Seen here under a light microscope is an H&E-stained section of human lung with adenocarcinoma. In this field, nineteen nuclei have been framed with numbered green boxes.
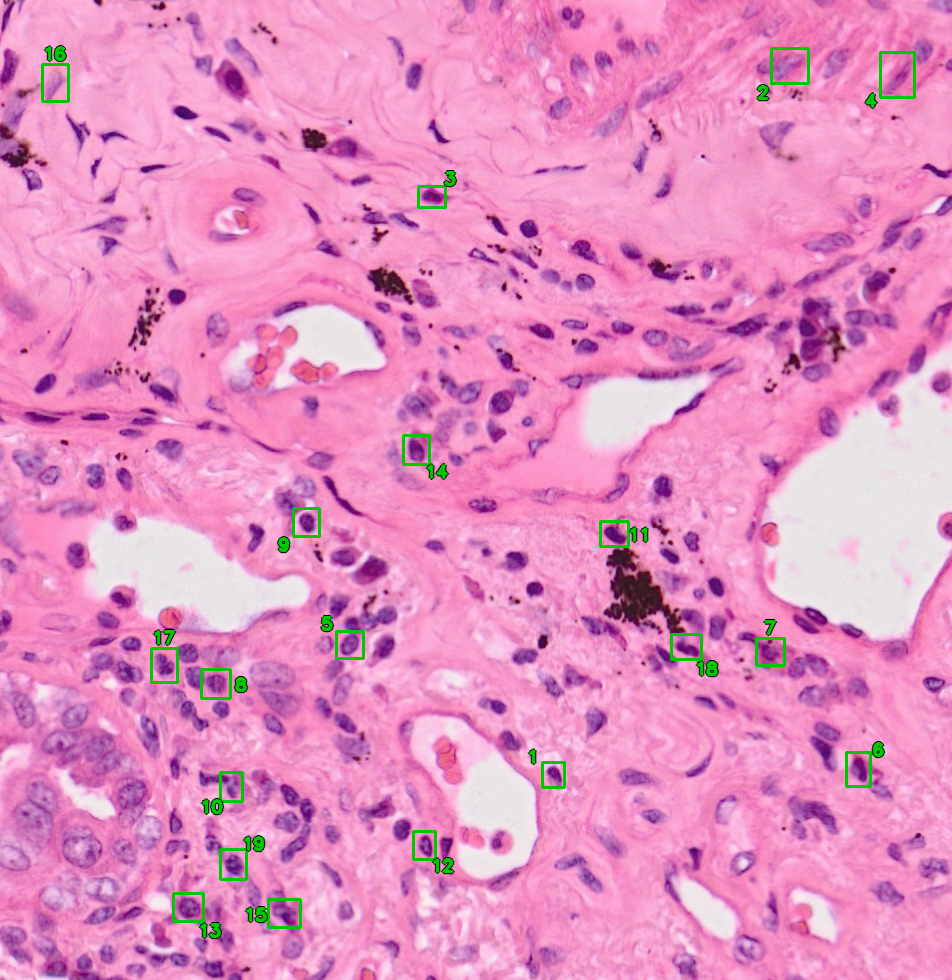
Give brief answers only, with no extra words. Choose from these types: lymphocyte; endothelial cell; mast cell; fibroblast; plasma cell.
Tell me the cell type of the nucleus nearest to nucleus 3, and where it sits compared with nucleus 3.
a fibroblast; below and to the left of nucleus 3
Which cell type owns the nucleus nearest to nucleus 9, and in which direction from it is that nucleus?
a plasma cell, above and to the left of nucleus 9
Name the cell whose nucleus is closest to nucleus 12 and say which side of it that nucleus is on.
an endothelial cell, to the right of nucleus 12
